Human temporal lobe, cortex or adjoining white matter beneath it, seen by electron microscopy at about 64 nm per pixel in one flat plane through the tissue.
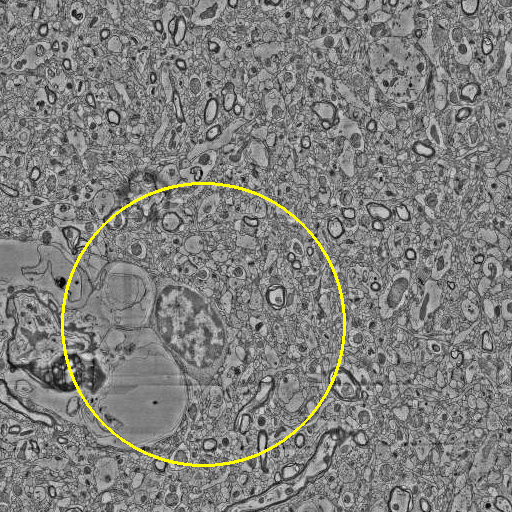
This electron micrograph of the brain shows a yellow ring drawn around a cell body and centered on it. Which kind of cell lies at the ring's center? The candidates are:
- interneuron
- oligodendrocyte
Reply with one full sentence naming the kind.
The cell lying at the ring's center in this micrograph is an oligodendrocyte.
